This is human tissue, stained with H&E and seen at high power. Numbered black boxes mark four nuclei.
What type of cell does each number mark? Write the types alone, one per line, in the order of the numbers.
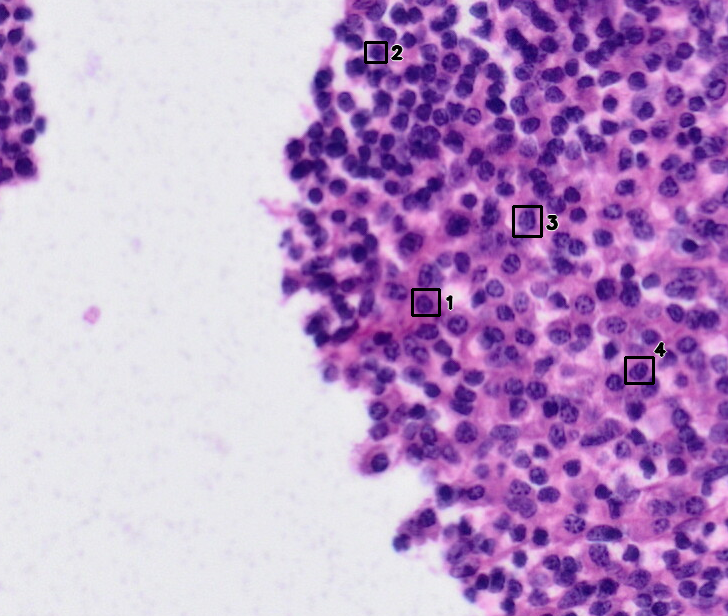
plasma cell
small lymphocyte
plasma cell
plasma cell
